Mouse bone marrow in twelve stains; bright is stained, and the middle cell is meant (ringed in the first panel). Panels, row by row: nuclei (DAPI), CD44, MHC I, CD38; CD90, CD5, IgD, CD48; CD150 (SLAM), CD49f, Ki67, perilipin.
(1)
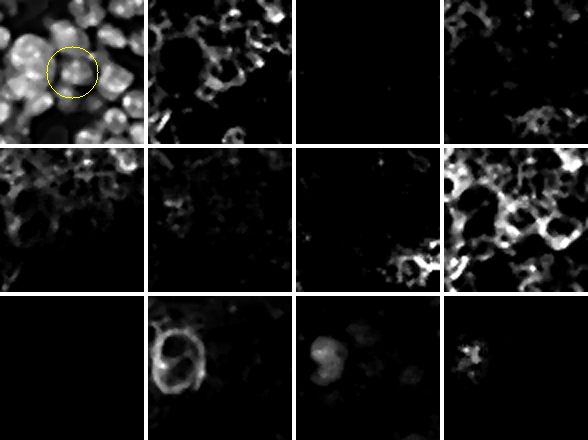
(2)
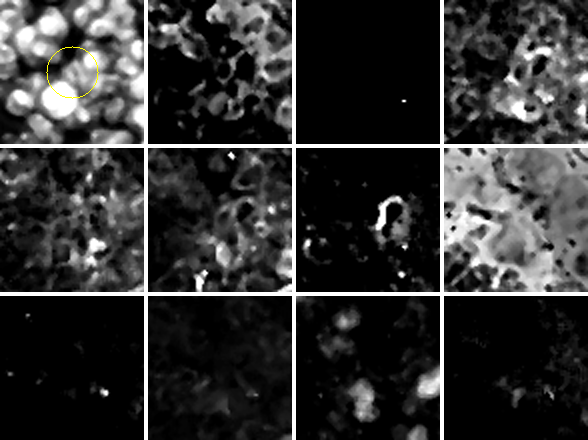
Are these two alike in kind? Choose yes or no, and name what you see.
Yes. Monocytes.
